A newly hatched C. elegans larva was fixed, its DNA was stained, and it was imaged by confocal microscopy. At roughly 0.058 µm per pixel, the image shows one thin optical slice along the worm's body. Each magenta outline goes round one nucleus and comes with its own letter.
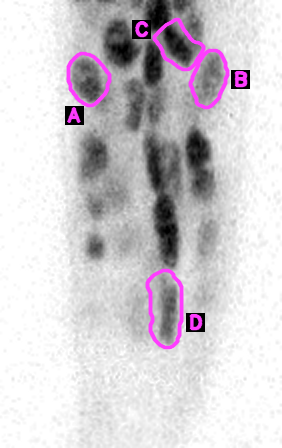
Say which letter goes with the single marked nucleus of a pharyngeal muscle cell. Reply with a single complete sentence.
Nucleus C belongs to a pharyngeal muscle cell.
